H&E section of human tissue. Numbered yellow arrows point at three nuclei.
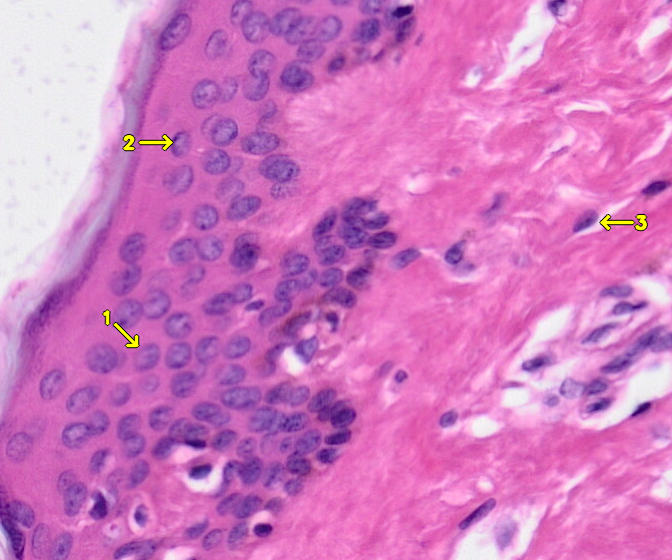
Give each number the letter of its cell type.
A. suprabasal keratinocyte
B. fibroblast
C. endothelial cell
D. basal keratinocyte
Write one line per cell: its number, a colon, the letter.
1: A
2: A
3: B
